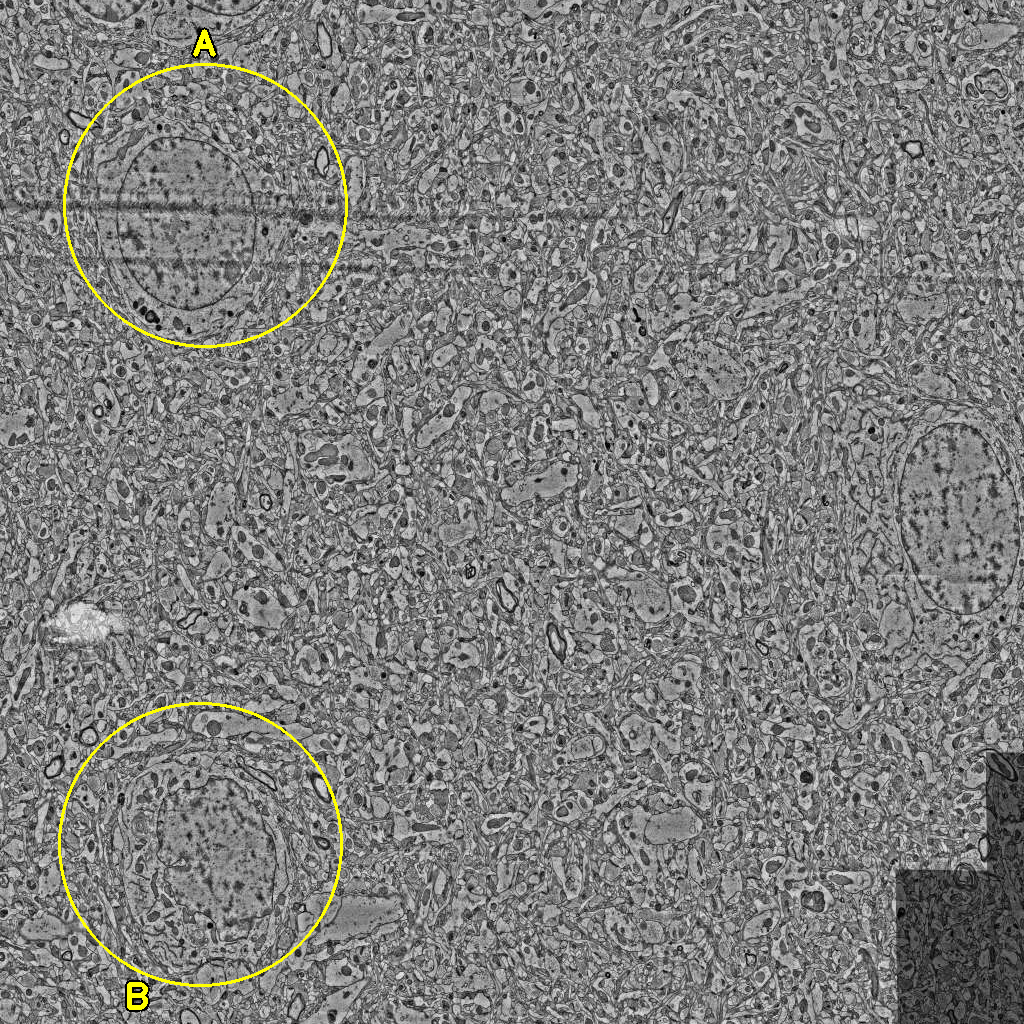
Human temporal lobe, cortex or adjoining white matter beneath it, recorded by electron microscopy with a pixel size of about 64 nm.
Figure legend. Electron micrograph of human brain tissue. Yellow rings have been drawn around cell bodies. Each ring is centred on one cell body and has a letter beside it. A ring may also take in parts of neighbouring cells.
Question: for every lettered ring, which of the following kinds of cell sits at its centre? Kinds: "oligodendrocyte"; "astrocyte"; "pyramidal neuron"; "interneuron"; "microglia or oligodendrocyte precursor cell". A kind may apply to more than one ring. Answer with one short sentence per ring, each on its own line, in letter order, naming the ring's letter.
Ring A is centred on a pyramidal neuron.
Ring B is centred on an interneuron.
